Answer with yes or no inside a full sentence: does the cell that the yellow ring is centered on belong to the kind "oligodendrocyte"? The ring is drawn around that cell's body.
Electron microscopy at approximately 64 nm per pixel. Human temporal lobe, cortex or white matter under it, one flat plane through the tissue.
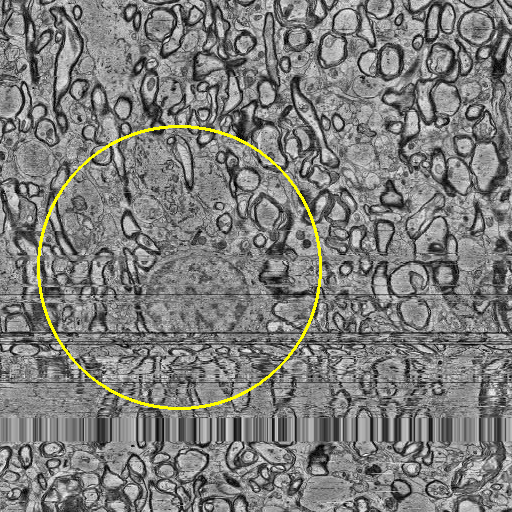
Yes, that kind describes the cell the yellow ring is centered on in the picture.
